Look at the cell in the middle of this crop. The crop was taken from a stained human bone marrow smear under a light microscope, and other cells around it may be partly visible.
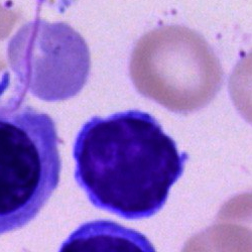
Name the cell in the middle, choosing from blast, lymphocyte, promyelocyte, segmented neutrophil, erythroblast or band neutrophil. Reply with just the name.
lymphocyte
